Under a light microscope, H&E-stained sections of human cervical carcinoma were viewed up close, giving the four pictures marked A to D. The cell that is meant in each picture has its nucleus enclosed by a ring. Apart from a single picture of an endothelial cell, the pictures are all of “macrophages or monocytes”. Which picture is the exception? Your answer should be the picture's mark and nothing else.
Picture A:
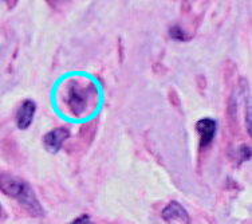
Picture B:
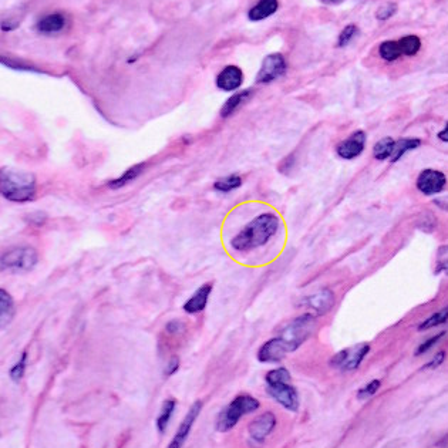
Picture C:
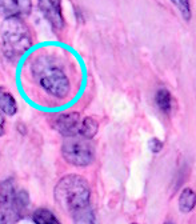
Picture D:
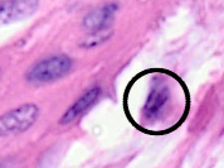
C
